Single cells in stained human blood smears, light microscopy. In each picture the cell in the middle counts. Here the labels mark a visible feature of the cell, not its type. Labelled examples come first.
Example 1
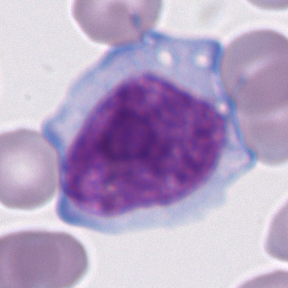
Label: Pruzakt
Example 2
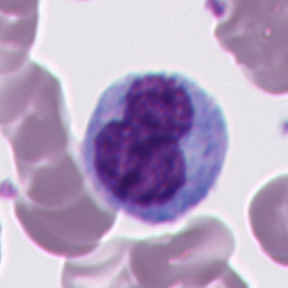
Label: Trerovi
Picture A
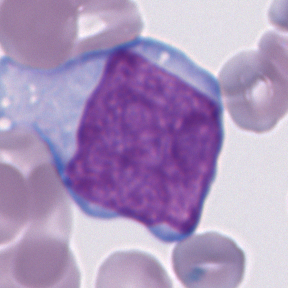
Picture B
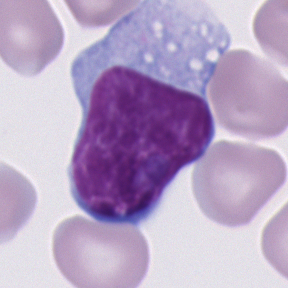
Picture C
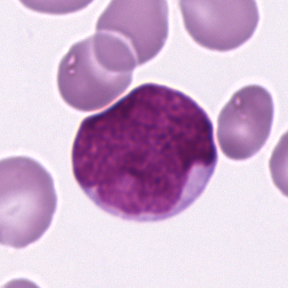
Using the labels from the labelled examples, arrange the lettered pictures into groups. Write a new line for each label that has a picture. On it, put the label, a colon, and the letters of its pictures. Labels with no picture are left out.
Pruzakt: A, B
Trerovi: C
